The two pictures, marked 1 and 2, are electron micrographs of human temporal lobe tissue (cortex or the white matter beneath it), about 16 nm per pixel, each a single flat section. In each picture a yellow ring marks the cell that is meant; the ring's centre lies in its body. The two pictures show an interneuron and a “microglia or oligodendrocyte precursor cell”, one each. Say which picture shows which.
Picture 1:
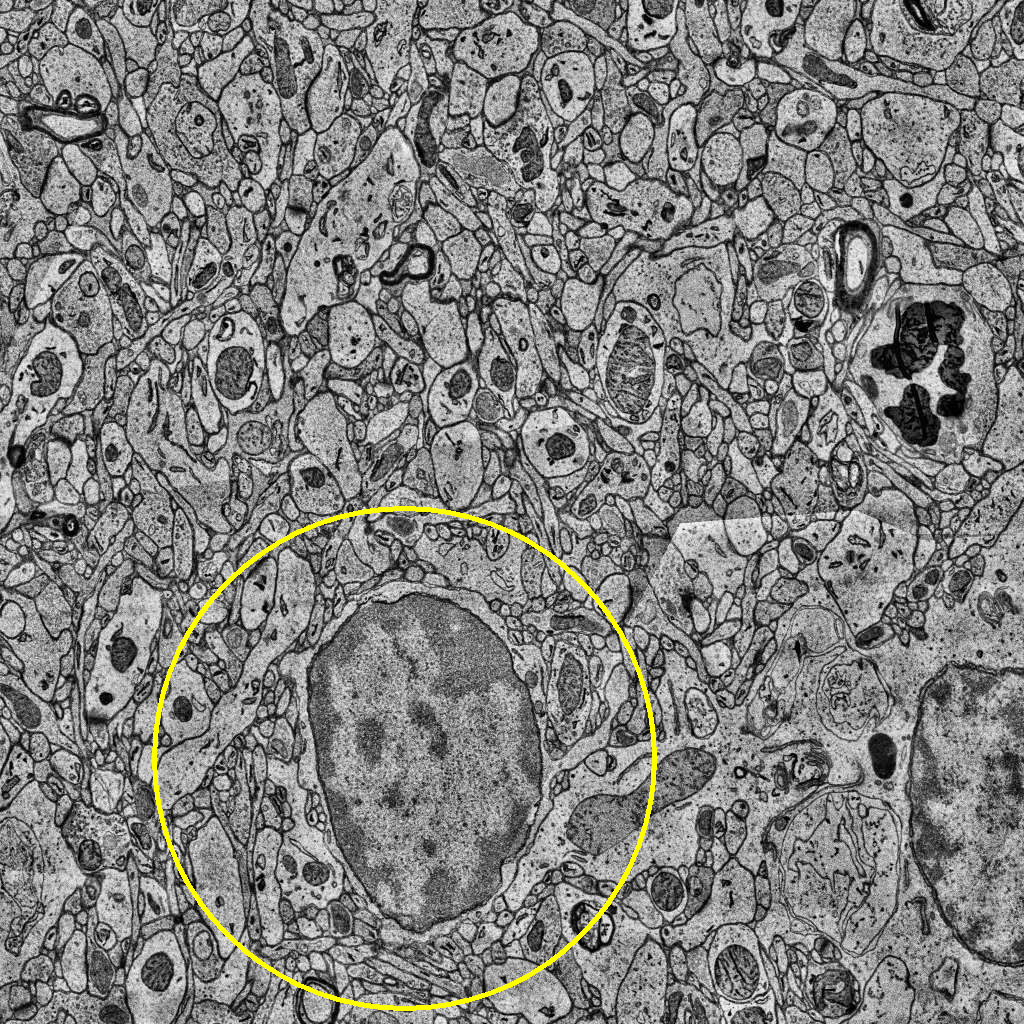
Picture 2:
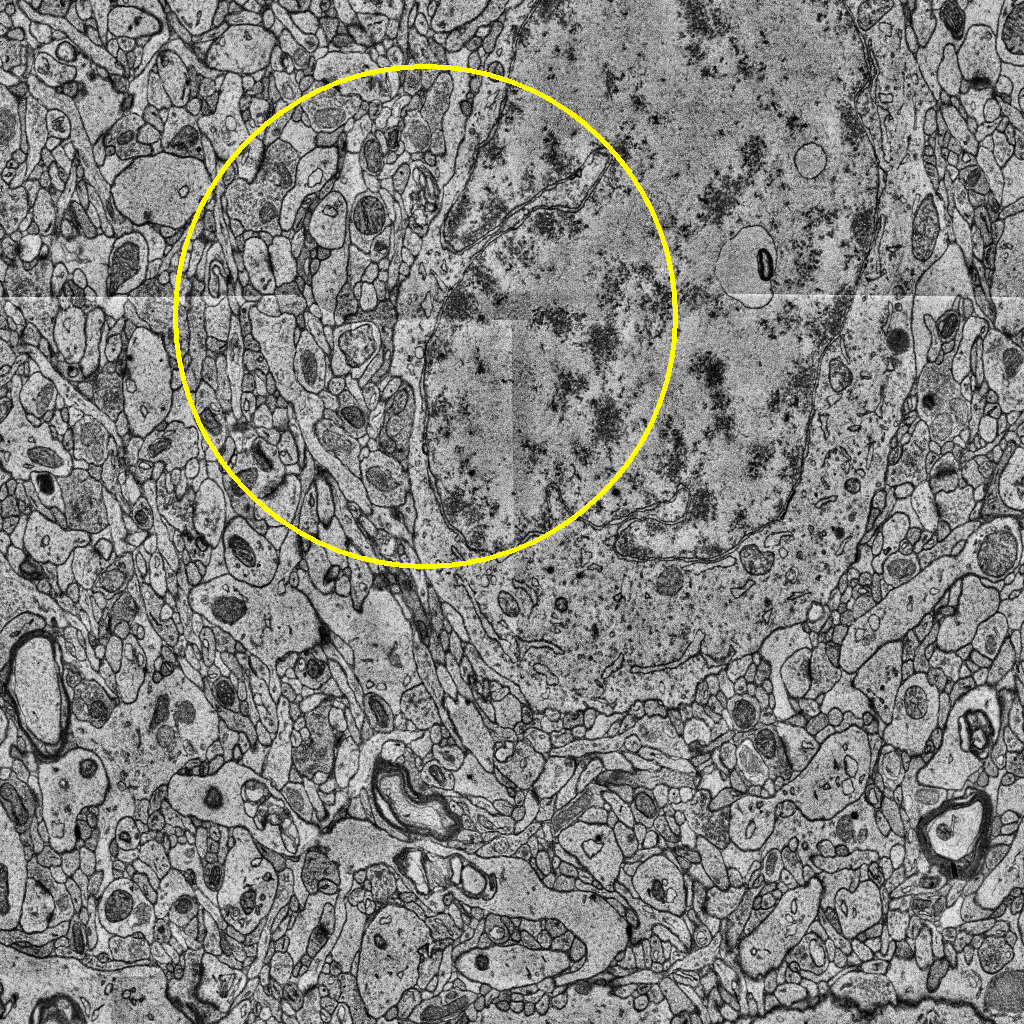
Picture 2 shows an interneuron, while picture 1 shows a “microglia or oligodendrocyte precursor cell”.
